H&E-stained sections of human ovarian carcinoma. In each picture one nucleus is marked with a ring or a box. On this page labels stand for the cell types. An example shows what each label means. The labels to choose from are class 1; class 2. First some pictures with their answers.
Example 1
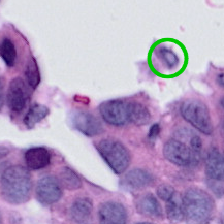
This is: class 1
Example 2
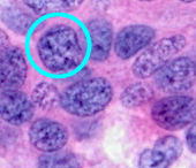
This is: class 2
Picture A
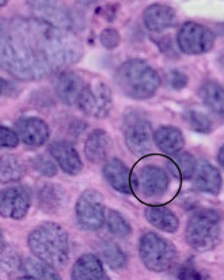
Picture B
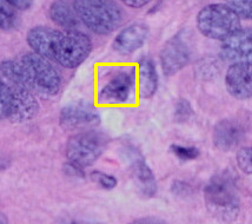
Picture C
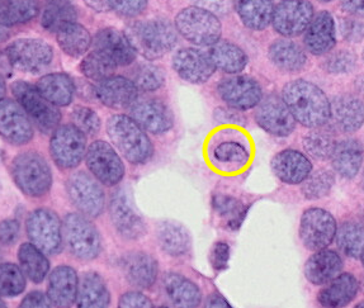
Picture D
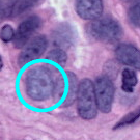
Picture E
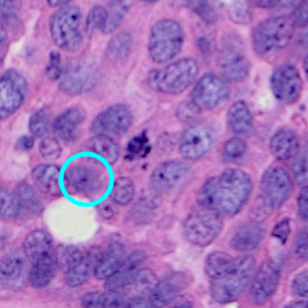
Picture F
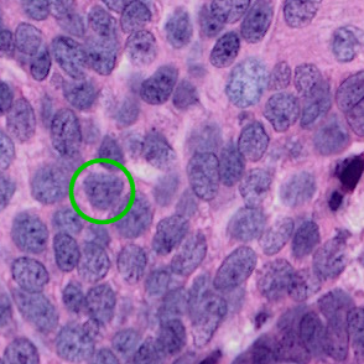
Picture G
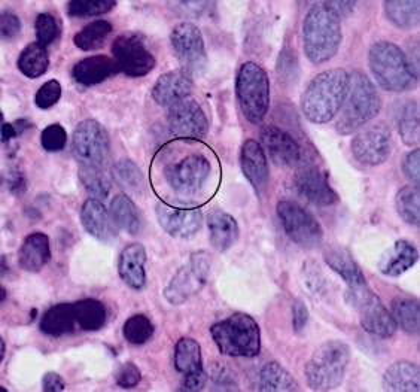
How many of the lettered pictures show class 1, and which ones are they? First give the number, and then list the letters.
2, namely B, C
